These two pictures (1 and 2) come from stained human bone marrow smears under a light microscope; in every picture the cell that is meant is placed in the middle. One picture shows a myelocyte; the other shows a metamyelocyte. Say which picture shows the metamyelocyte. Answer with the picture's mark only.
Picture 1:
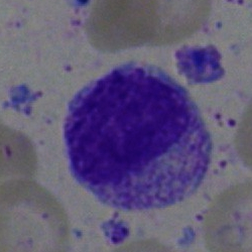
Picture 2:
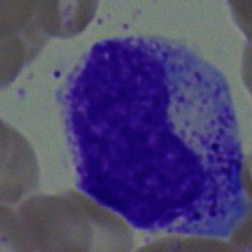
2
